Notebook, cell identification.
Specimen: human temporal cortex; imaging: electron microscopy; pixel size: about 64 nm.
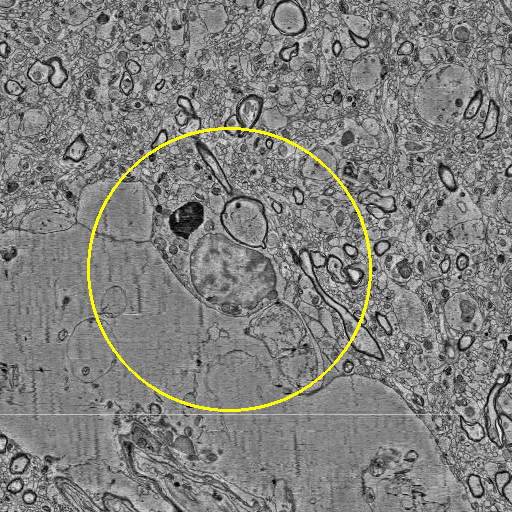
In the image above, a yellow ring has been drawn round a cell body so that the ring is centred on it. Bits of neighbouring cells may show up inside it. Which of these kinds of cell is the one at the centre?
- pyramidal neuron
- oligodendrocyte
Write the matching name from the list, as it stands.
oligodendrocyte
